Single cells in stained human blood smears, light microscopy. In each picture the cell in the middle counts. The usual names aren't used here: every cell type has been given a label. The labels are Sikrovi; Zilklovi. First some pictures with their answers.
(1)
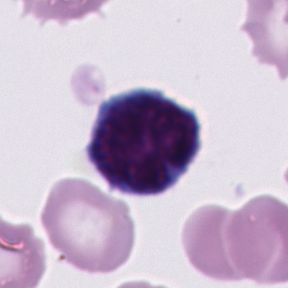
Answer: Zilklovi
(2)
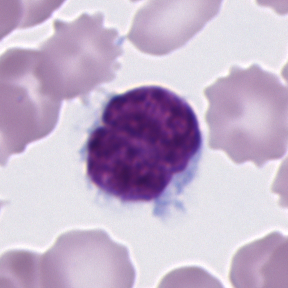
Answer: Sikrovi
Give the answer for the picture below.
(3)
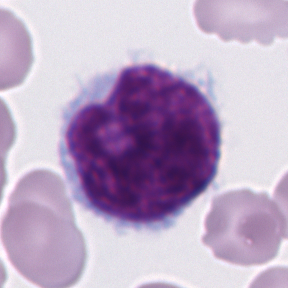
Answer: Sikrovi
